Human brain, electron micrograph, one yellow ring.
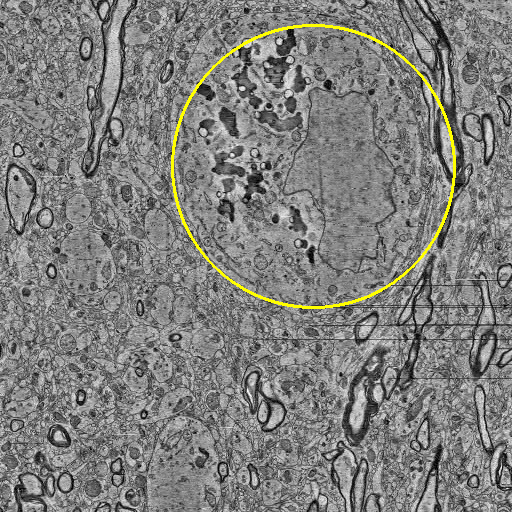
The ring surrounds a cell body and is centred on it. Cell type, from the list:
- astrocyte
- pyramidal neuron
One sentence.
The yellow ring circles a pyramidal neuron.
